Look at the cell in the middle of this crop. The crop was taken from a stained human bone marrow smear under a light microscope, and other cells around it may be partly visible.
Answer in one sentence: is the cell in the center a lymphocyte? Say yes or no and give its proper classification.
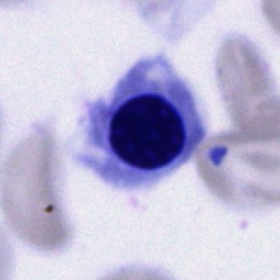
No, the cell in the middle is recognised as a normoblast rather than a lymphocyte.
